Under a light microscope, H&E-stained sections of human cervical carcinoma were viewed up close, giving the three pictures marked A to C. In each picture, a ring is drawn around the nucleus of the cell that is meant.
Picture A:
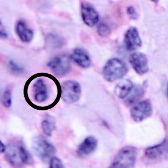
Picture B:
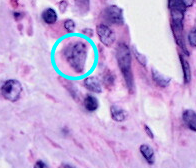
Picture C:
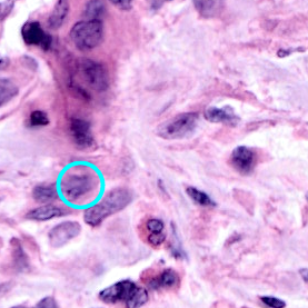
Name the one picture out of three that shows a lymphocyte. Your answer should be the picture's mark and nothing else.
A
